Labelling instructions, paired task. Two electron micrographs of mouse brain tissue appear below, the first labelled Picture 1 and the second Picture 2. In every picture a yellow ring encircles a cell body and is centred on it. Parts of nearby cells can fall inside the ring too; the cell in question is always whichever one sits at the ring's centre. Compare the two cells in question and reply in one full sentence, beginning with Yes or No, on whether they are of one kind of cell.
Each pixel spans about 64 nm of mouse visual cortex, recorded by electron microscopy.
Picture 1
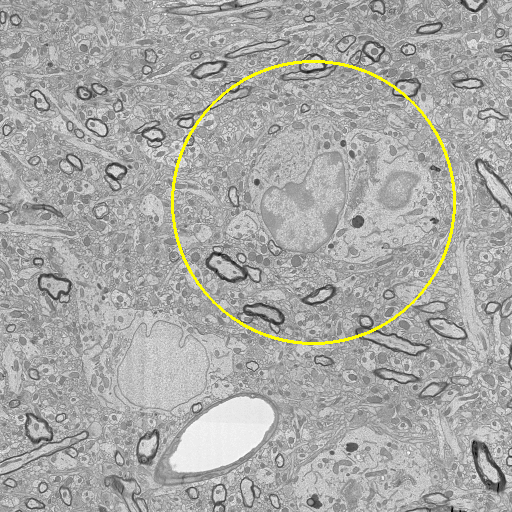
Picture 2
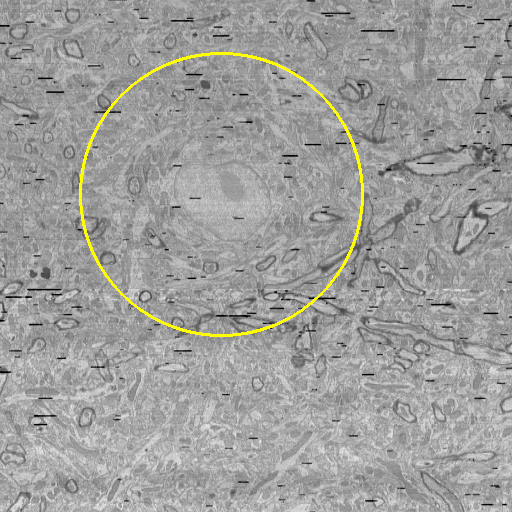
No, the two cells at the ring centres in Picture 1 and Picture 2 are of two kinds.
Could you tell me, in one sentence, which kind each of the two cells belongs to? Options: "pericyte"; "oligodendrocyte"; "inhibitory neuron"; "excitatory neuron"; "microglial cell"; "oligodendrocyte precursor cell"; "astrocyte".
At the centre of the first ring sits an oligodendrocyte, and at the centre of the second sits an astrocyte.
